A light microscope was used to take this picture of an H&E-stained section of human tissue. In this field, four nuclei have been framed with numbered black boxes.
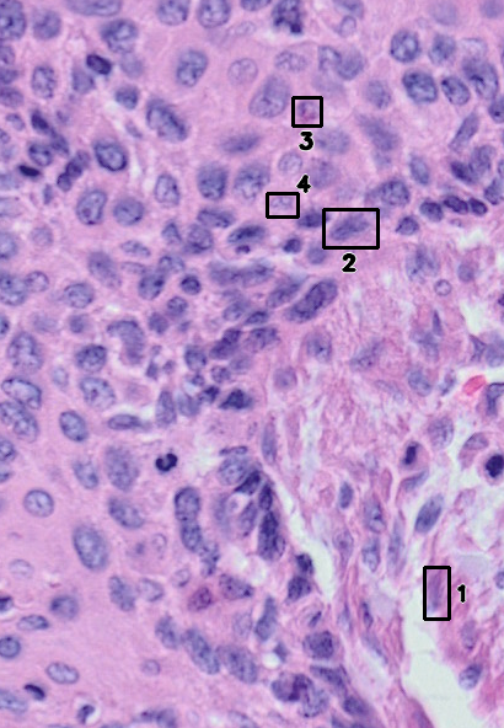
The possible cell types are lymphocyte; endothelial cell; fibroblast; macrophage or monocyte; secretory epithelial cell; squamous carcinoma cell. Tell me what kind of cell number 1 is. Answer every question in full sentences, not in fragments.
Cell 1 is classified as a fibroblast.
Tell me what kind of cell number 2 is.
Corresponding to a squamous carcinoma cell is the cell labelled 2.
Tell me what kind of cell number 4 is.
Classified as a squamous carcinoma cell is the cell with the number 4.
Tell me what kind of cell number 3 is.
The nucleus marked 3 is the nucleus of a squamous carcinoma cell.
